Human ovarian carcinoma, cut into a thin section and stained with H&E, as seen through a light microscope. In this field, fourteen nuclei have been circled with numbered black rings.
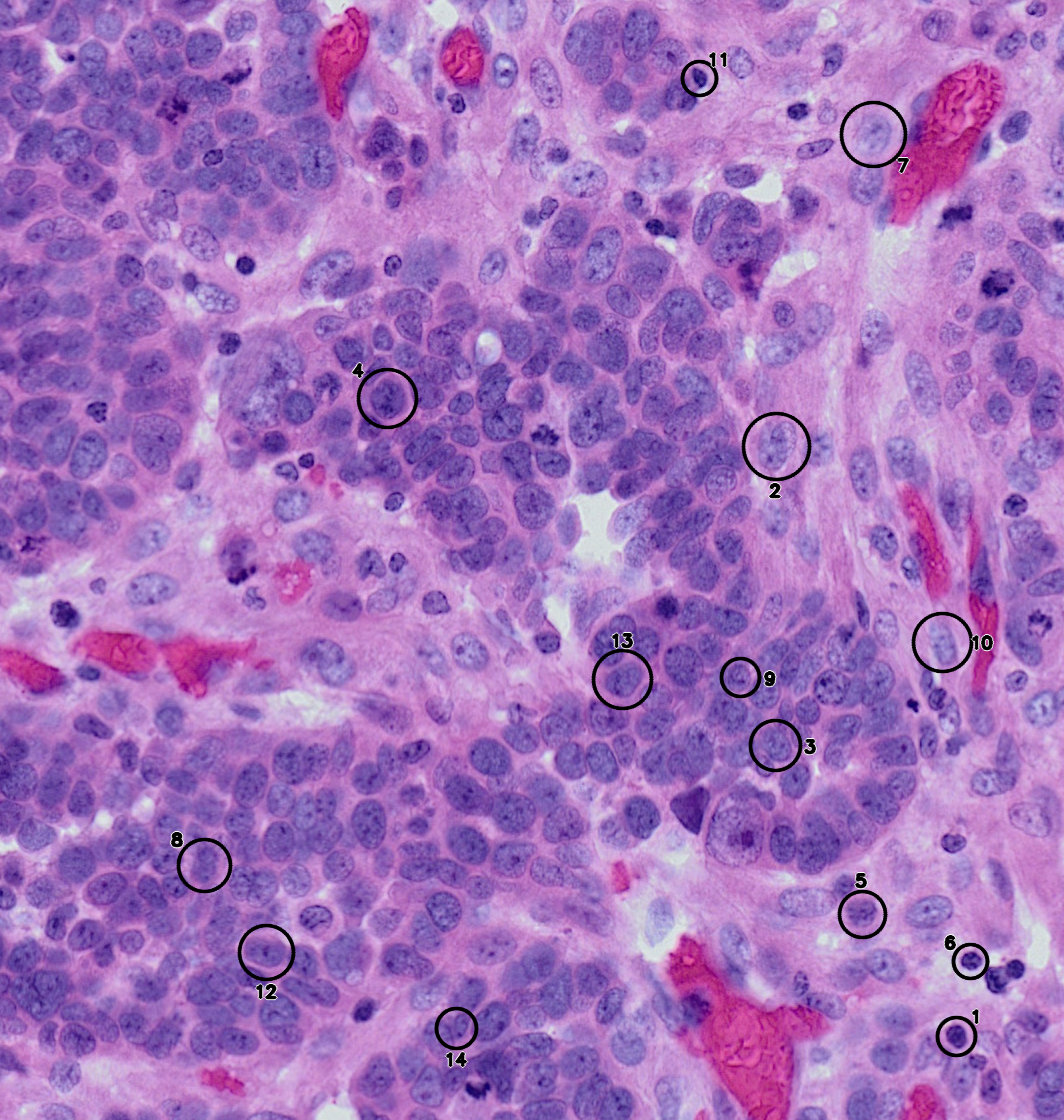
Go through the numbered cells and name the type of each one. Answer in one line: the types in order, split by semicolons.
lymphocyte; fibroblast; carcinoma cell; carcinoma cell; macrophage or monocyte; lymphocyte; fibroblast; carcinoma cell; carcinoma cell; fibroblast; lymphocyte; carcinoma cell; carcinoma cell; carcinoma cell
